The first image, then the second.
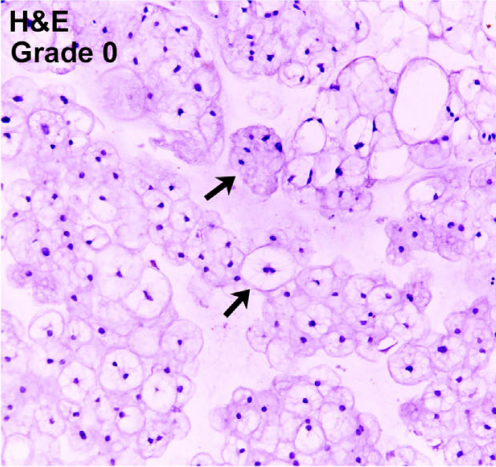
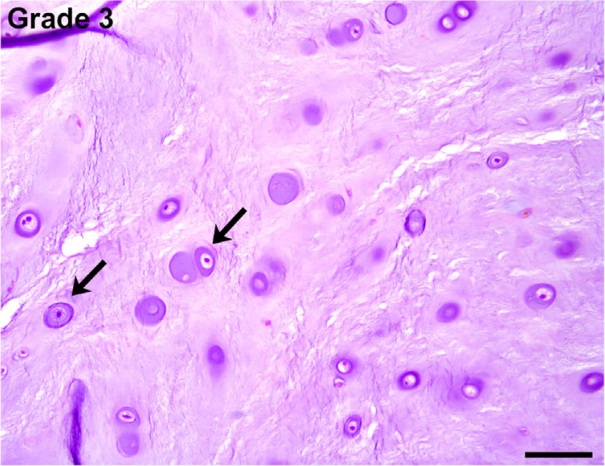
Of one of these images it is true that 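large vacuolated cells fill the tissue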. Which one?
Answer: The first image.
